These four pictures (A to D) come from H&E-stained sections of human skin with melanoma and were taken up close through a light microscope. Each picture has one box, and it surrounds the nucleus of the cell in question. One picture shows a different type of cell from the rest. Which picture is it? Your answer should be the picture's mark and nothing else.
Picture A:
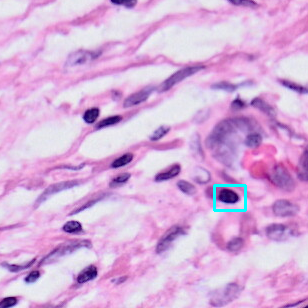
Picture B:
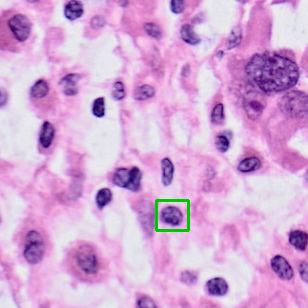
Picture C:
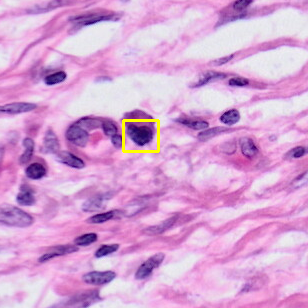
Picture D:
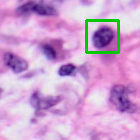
B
